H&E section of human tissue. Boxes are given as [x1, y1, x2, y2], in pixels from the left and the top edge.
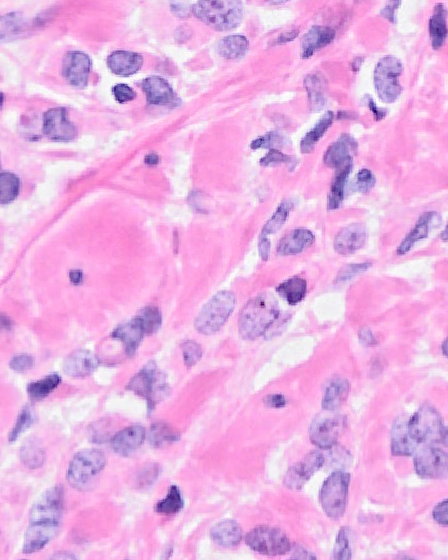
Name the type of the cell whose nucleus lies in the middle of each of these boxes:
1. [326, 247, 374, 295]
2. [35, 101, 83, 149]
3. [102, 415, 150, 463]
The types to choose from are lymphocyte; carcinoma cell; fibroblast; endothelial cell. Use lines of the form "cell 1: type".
cell 1: fibroblast
cell 2: carcinoma cell
cell 3: carcinoma cell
